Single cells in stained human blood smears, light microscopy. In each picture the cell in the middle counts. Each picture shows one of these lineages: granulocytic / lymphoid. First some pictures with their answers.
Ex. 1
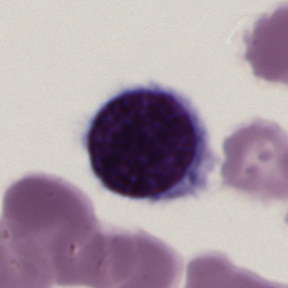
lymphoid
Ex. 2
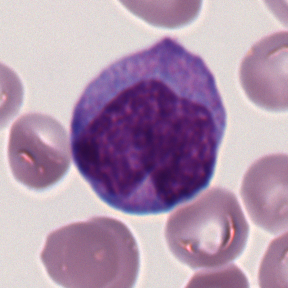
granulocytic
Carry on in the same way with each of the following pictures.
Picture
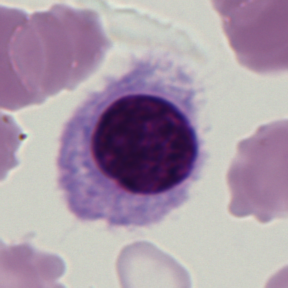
lymphoid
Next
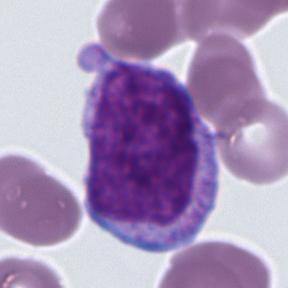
granulocytic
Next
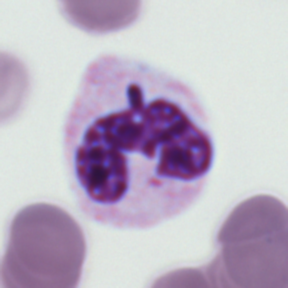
granulocytic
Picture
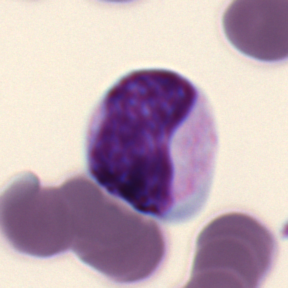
granulocytic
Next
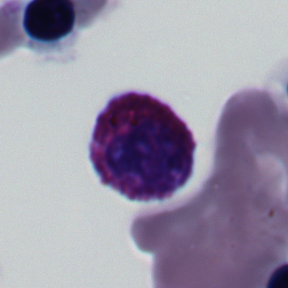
granulocytic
